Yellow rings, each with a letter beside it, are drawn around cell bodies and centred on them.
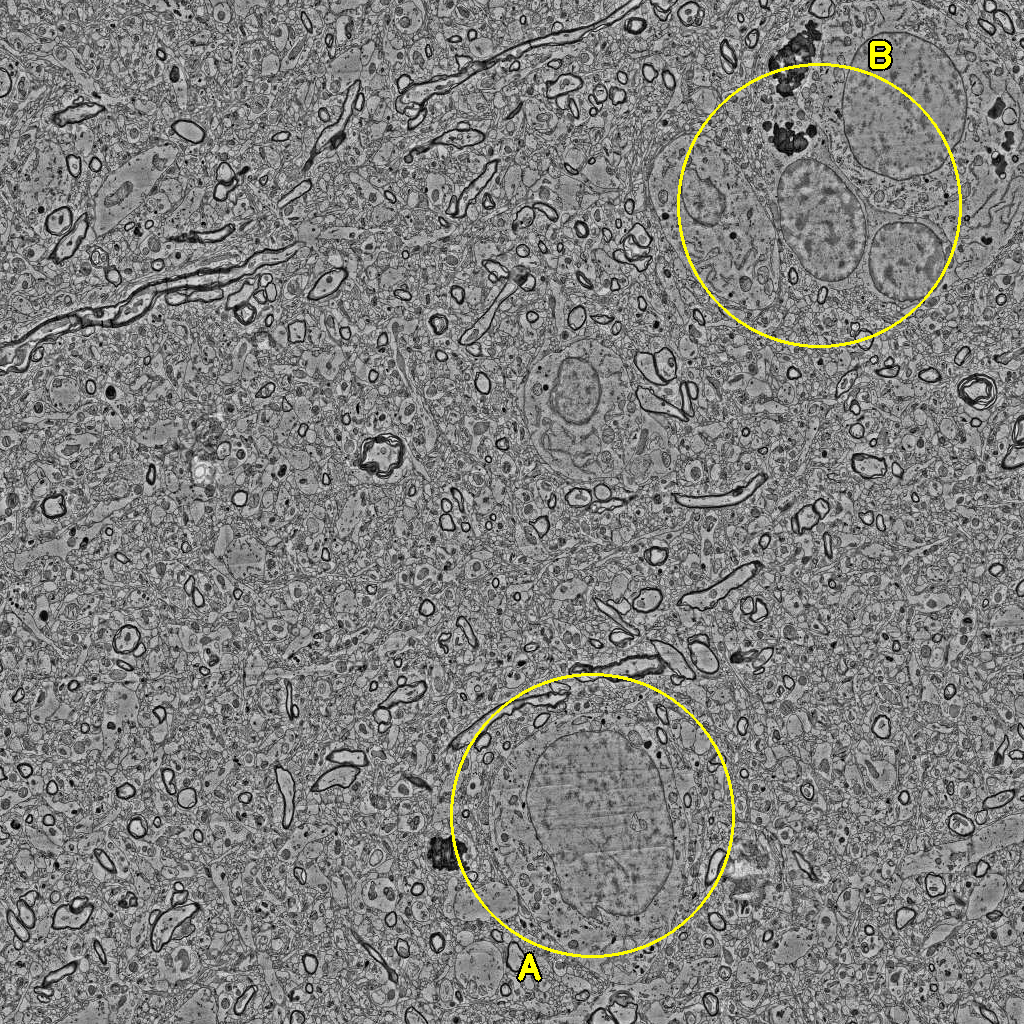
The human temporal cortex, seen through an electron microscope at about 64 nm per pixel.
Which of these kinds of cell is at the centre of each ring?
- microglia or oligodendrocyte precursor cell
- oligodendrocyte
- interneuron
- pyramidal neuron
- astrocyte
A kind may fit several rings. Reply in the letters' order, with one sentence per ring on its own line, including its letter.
The cell in the middle of ring A is a pyramidal neuron.
The cell in the middle of ring B is an oligodendrocyte.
